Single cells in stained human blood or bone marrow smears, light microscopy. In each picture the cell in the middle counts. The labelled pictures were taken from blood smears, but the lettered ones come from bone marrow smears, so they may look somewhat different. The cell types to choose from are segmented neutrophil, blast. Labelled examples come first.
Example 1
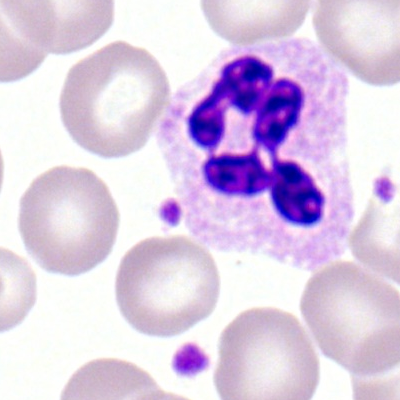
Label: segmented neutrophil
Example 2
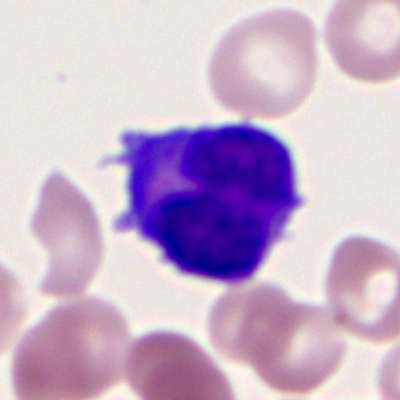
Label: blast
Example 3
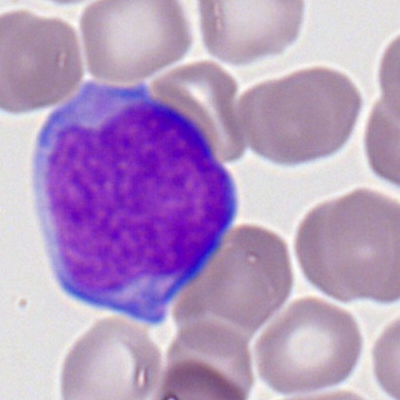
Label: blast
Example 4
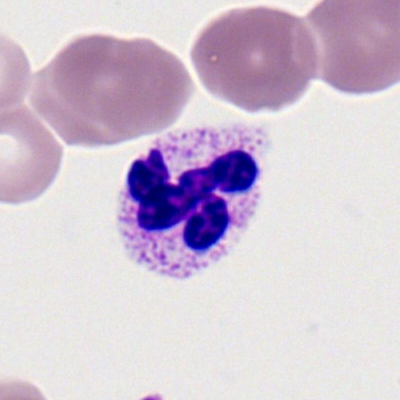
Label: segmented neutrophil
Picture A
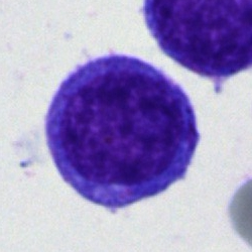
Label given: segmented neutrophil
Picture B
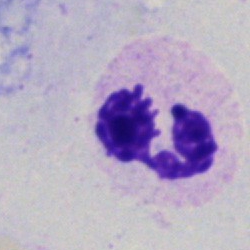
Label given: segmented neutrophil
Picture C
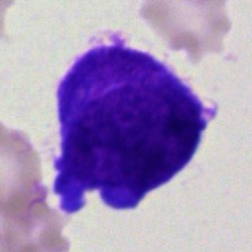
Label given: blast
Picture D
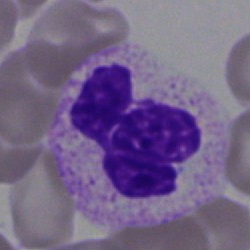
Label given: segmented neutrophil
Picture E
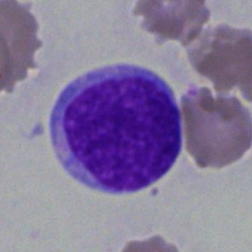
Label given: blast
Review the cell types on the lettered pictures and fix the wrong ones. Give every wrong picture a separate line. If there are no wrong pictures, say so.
A: change segmented neutrophil to blast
